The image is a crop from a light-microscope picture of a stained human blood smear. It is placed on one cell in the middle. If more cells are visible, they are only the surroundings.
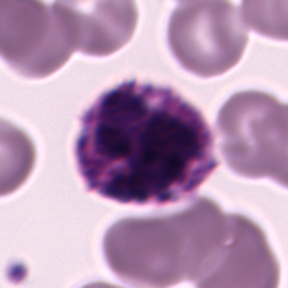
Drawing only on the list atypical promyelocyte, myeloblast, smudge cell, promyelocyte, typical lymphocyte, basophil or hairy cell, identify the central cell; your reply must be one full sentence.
The cell at the heart of this crop is a basophil.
